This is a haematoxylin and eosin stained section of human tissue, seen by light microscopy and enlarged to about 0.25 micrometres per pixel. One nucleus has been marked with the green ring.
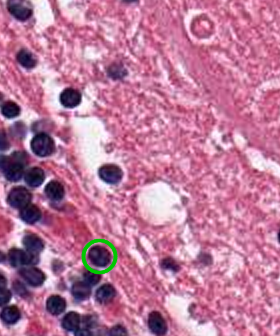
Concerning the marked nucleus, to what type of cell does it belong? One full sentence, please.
A nucleus of a cerebellar granule cell is the one that is marked.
